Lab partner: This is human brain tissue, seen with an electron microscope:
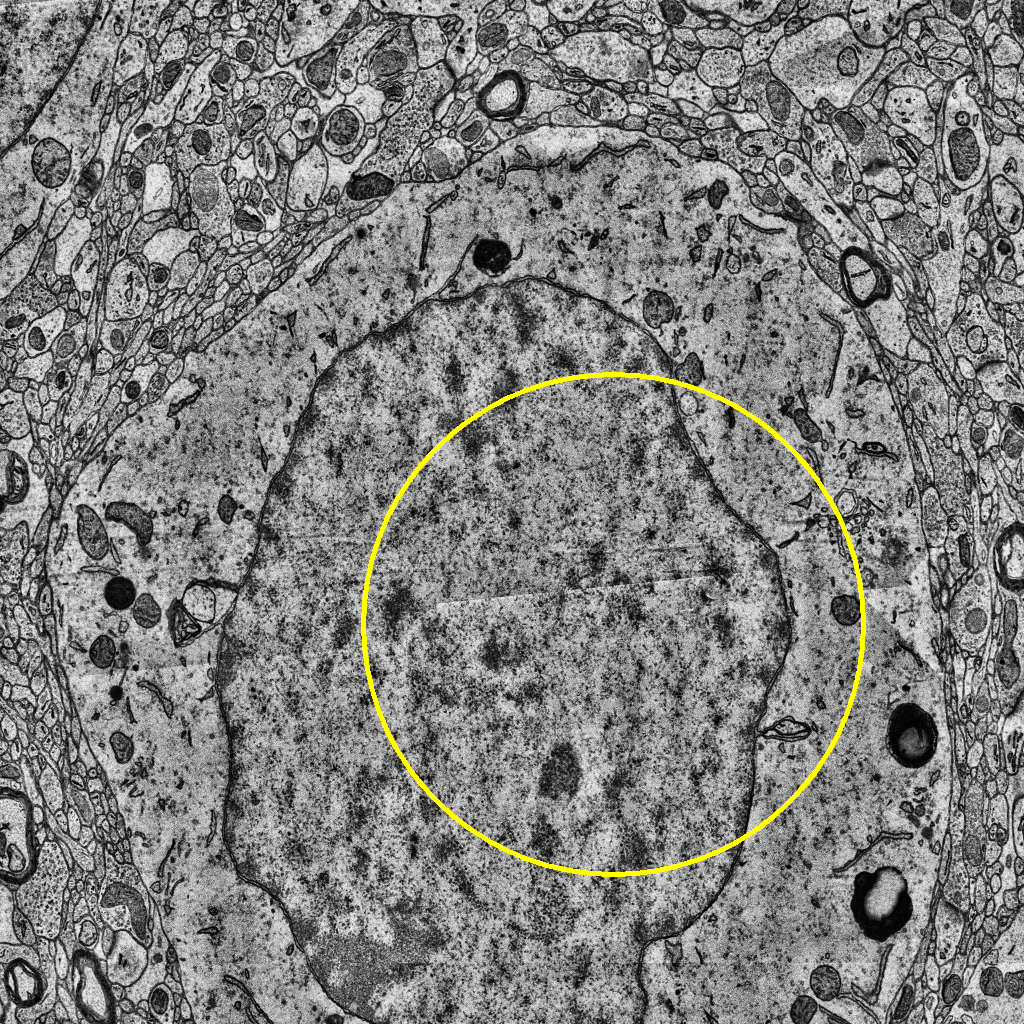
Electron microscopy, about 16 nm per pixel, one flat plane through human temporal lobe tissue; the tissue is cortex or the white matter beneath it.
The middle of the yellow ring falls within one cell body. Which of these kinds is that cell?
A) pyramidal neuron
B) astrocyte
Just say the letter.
A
